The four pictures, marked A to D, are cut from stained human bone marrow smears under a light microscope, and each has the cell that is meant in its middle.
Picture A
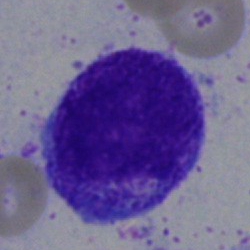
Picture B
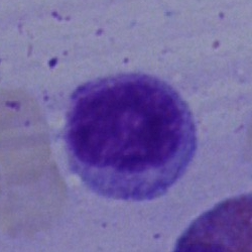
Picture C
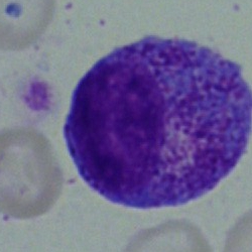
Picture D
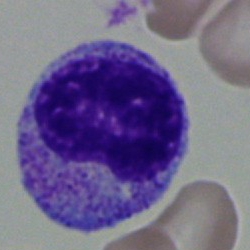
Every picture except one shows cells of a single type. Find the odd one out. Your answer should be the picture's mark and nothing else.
C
